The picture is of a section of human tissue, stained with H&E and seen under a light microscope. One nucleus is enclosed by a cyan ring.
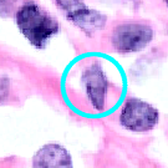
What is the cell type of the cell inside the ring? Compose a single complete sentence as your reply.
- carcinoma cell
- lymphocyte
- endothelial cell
In this tissue section, the cell inside the ring is to be classed as a carcinoma cell.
